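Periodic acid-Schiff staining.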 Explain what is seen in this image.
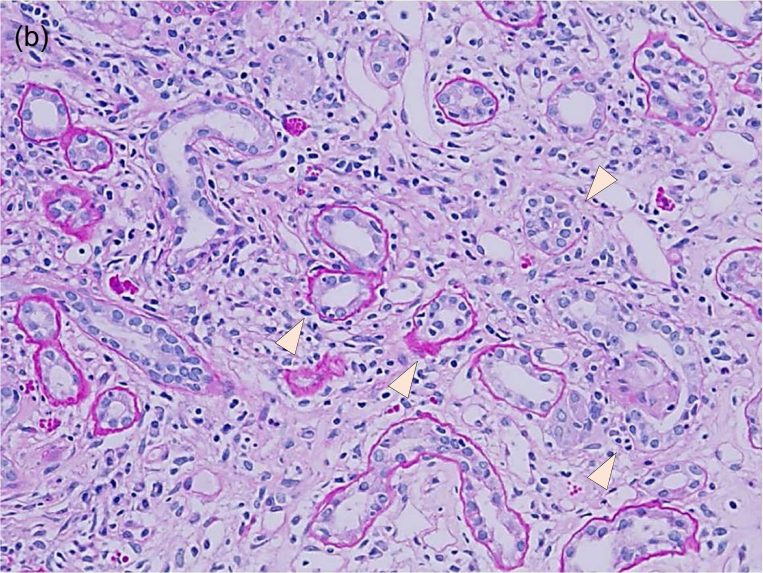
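Renal tubules outlined by magenta basement membranes are surrounded by a dense interstitial infiltrate of mononuclear cells with small dark round nuclei. Some of these mononuclear cells lie within the tubular walls among the epithelial cells, the picture of tubulitis. The interstitium between tubules is widened and pale, and several tubules appear small or collapsed.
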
